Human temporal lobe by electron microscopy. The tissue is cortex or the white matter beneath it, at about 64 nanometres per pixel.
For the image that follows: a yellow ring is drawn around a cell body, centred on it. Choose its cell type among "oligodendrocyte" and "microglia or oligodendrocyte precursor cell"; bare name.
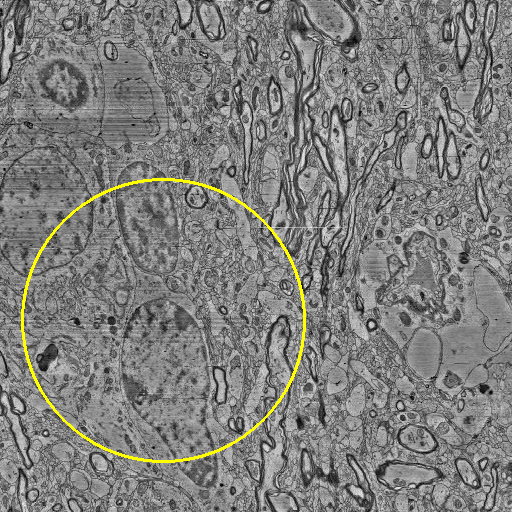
microglia or oligodendrocyte precursor cell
